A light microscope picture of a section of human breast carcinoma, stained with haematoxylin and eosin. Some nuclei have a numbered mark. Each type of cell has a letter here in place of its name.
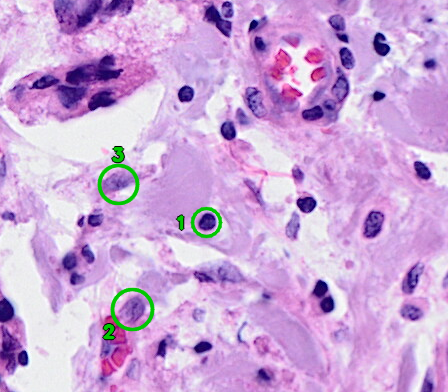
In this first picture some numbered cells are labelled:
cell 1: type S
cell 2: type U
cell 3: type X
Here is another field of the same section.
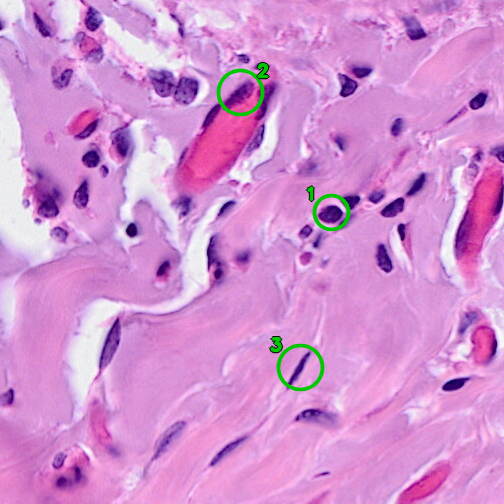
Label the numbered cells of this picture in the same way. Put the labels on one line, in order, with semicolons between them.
type S; type U; type X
